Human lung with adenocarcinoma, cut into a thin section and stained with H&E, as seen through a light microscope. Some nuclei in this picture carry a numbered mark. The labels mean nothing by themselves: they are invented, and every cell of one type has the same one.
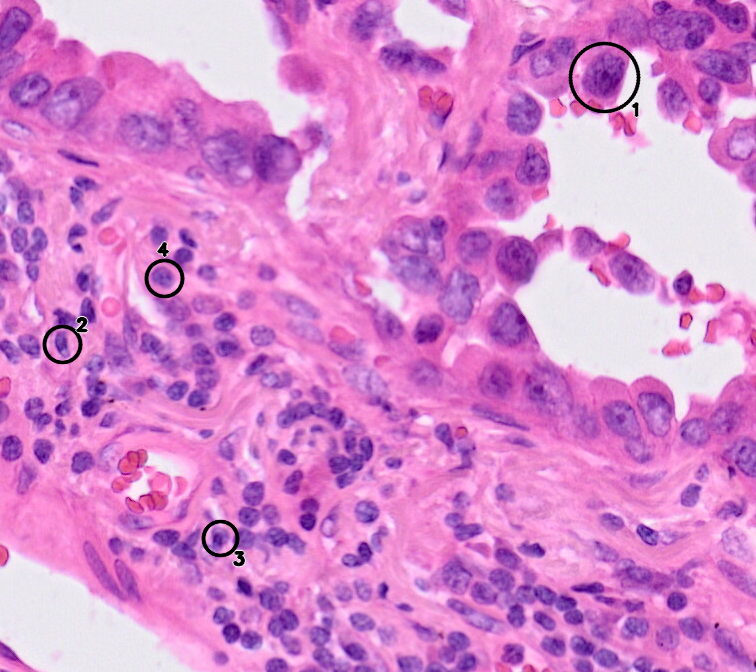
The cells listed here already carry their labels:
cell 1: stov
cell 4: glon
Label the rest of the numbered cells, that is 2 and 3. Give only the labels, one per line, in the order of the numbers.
glon
glon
